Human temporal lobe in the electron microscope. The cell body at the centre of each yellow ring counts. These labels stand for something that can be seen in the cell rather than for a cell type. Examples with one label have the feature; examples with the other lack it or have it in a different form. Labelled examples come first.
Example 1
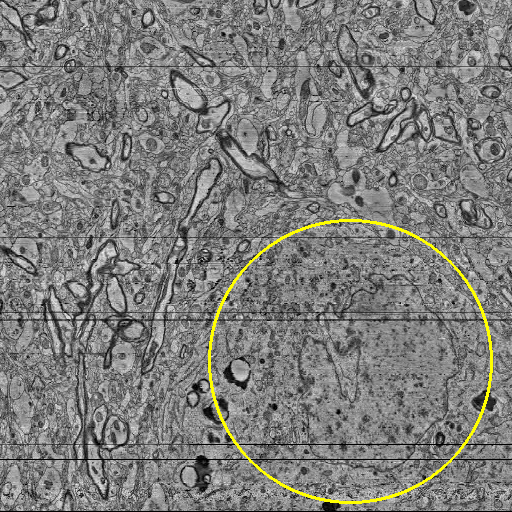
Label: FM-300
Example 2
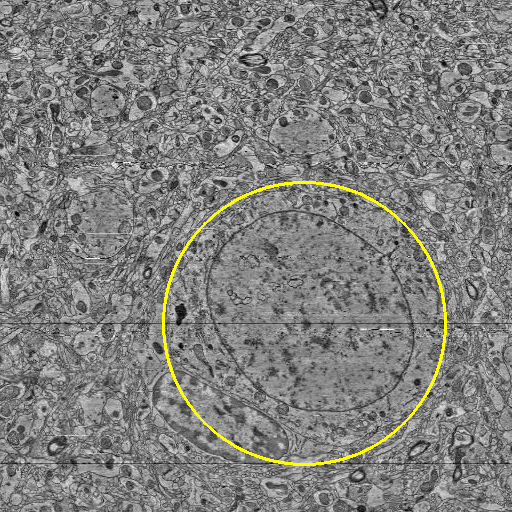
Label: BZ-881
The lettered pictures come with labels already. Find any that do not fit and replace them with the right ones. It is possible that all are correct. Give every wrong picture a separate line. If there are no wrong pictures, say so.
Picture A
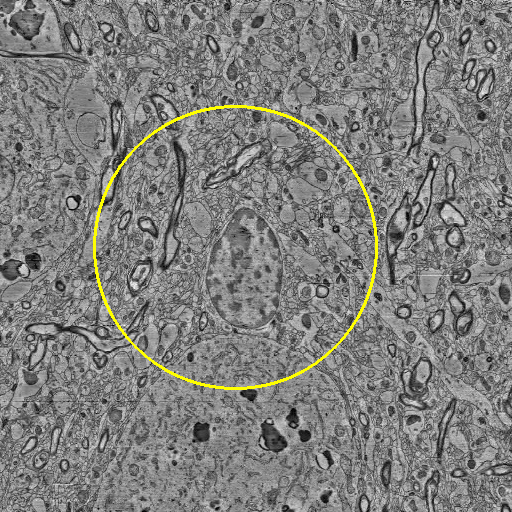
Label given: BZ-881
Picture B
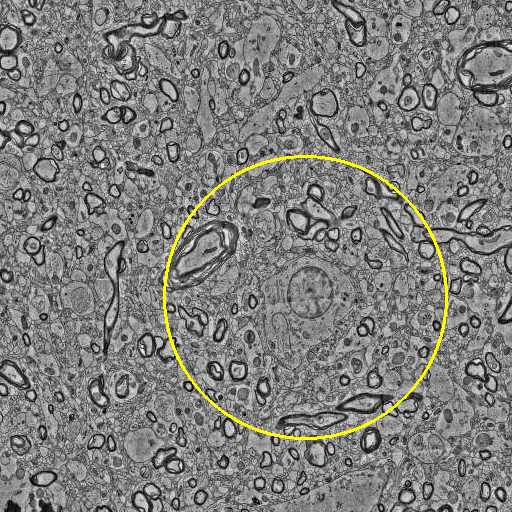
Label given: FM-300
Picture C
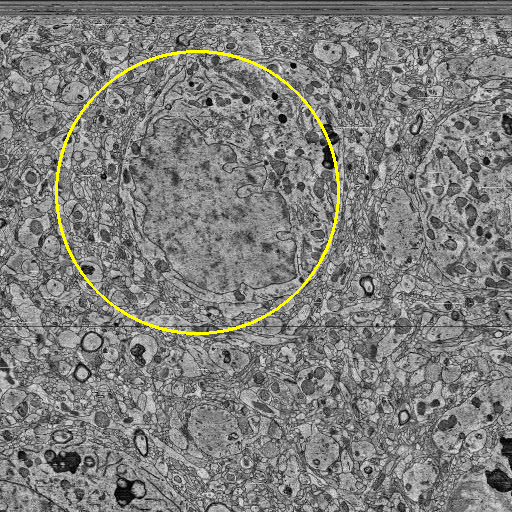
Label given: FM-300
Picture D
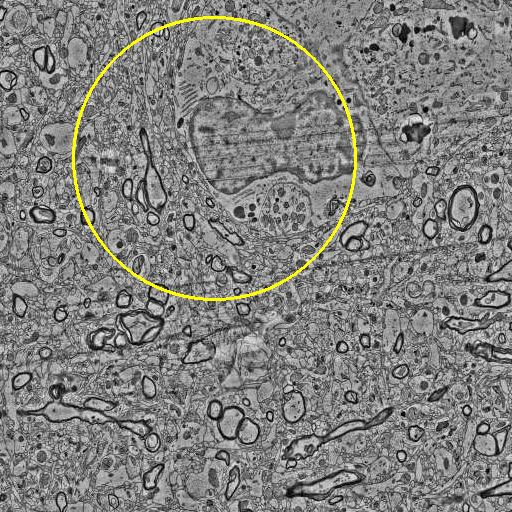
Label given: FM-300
Wrong: B (FM-300); correct: BZ-881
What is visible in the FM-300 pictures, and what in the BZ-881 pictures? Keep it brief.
Seen in FM-300: deeply folded or indented nuclear envelopes; seen in BZ-881: smooth nuclear envelopes without deep folds.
